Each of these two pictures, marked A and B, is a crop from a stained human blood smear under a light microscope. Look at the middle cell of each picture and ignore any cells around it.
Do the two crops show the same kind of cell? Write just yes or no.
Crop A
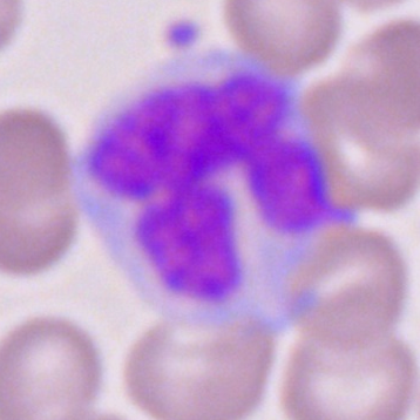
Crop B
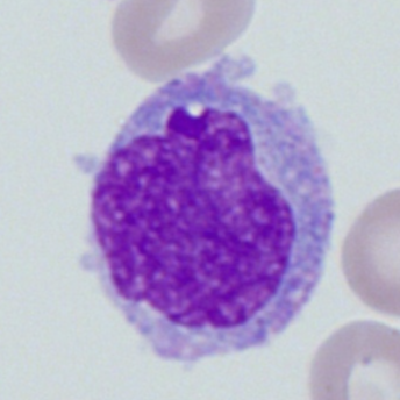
yes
